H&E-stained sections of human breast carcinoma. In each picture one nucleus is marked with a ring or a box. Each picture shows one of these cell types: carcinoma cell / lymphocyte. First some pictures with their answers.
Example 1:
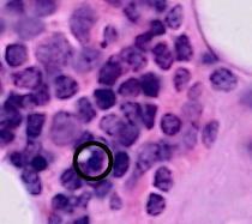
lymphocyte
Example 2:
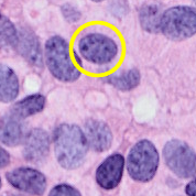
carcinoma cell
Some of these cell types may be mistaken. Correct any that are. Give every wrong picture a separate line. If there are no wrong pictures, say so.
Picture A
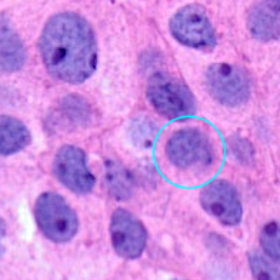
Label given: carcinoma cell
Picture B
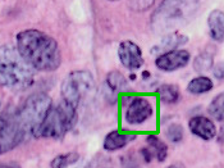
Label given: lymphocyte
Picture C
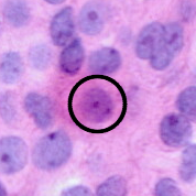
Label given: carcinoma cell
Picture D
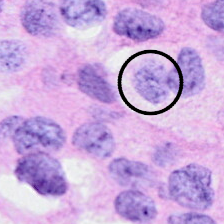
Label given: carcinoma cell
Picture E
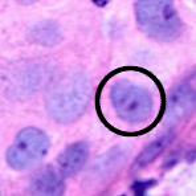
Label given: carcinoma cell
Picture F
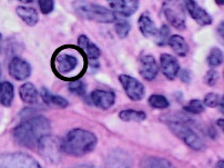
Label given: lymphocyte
All correct.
